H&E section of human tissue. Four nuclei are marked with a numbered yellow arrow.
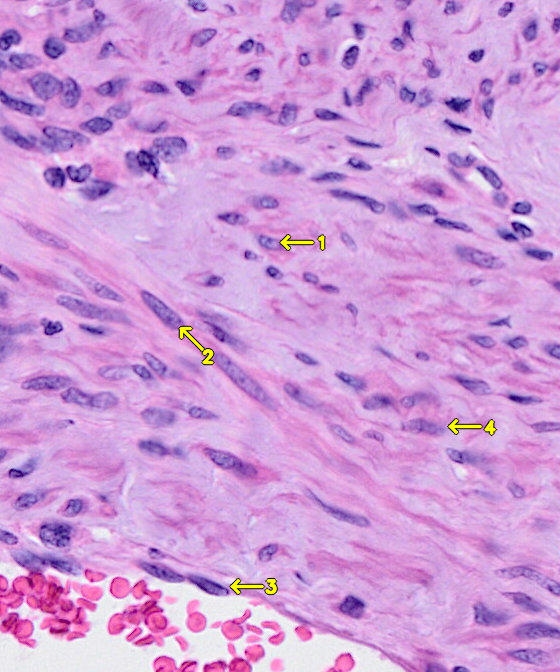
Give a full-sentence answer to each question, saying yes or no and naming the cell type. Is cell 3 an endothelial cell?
Yes, number 3 marks a cell that is an endothelial cell.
